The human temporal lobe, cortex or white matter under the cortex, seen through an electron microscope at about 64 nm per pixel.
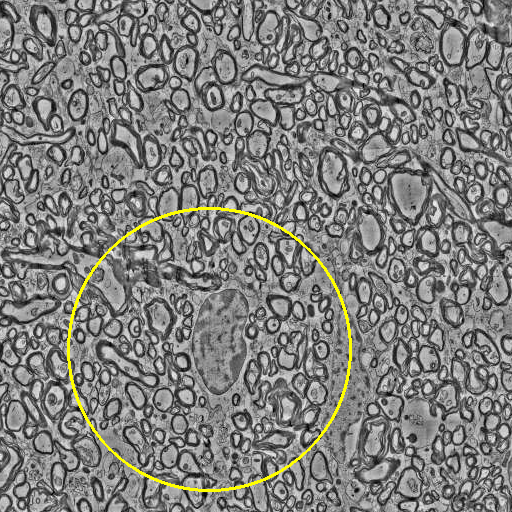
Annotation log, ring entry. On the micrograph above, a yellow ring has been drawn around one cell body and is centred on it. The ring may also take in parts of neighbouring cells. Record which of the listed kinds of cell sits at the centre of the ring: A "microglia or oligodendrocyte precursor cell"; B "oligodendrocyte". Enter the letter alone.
A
